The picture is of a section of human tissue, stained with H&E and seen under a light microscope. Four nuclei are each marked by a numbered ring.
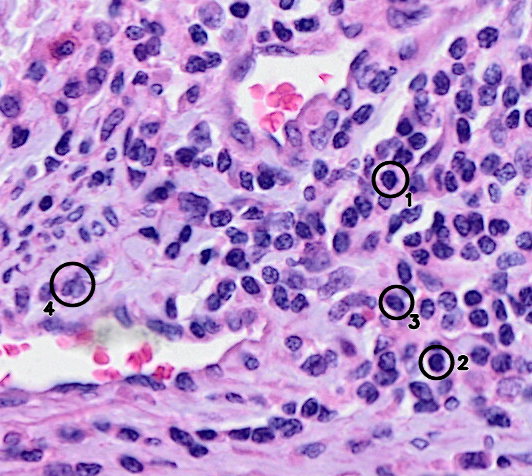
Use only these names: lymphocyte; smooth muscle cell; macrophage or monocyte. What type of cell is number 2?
lymphocyte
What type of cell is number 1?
lymphocyte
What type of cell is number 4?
macrophage or monocyte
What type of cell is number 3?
lymphocyte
